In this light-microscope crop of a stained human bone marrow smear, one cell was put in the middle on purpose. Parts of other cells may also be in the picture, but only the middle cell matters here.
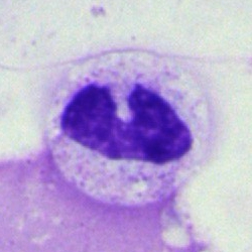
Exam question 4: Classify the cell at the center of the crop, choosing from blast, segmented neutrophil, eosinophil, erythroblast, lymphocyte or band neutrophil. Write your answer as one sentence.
The cell marked by its central position in the crop is a segmented neutrophil.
